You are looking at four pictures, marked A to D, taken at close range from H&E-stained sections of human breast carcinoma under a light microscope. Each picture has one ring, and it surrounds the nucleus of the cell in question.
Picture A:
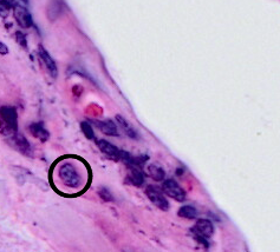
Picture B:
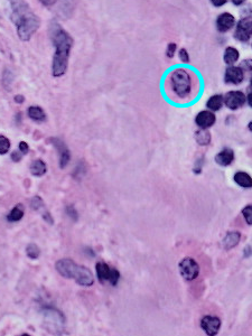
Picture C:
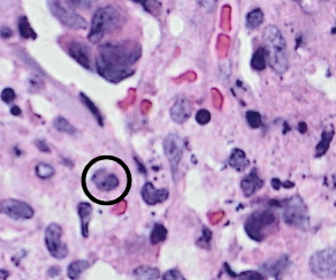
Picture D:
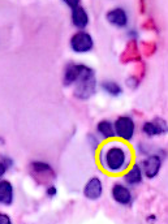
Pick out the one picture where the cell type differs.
D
